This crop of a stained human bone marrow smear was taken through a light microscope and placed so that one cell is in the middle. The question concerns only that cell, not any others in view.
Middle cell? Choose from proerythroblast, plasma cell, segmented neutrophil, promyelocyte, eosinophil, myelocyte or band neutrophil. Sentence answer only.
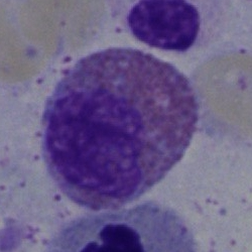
To answer, the cell in the center of the crop is an eosinophil.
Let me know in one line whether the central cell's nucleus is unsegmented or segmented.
In this cell the nucleus is a solitary compact mass, round, oval or kidney-shaped.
